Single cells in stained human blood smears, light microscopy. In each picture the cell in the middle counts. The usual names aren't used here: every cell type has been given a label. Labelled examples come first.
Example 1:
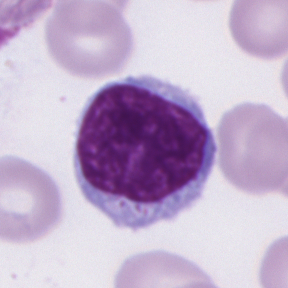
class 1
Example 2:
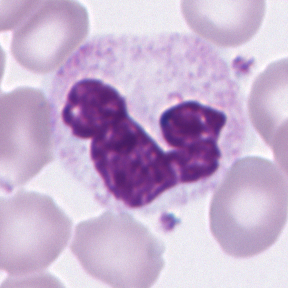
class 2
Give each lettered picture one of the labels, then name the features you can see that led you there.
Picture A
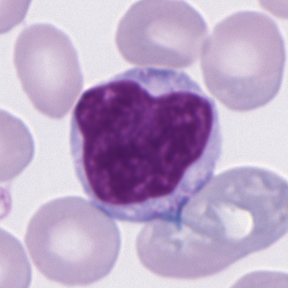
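class 1. The cytoplasm forms a narrow rim around the nucleus.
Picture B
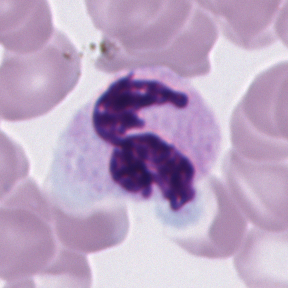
class 2. The nucleus forms a thick S-shaped band running from the top of the cell to the lower right.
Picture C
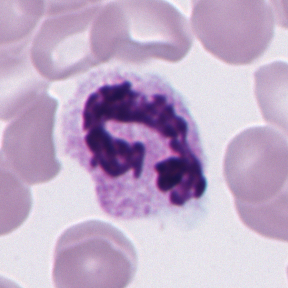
class 2. The nucleus curves into a C-shape whose opening faces downward.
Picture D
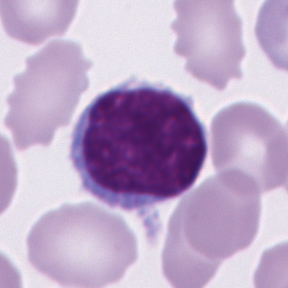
class 1. The cytoplasm forms a narrow rim of pale blue around the nucleus.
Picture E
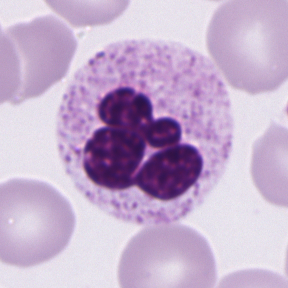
class 2. The cytoplasm is abundant and pale pinkish-lilac.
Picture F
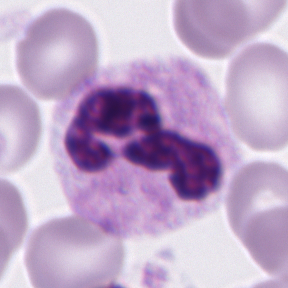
class 2. The cytoplasm is abundant and pale pink.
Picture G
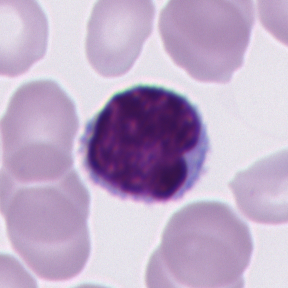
class 1. The cytoplasm forms only a thin rim around the nucleus.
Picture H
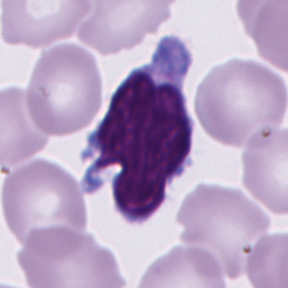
class 1. Only a scant rim of pale blue cytoplasm surrounds the nucleus.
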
